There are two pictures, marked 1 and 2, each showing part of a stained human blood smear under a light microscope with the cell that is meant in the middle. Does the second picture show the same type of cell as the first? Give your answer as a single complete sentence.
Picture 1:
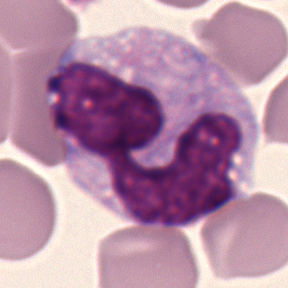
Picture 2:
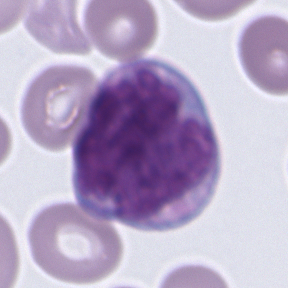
No, they differ: the cell is a monocyte in picture 1 and an atypical promyelocyte in picture 2.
